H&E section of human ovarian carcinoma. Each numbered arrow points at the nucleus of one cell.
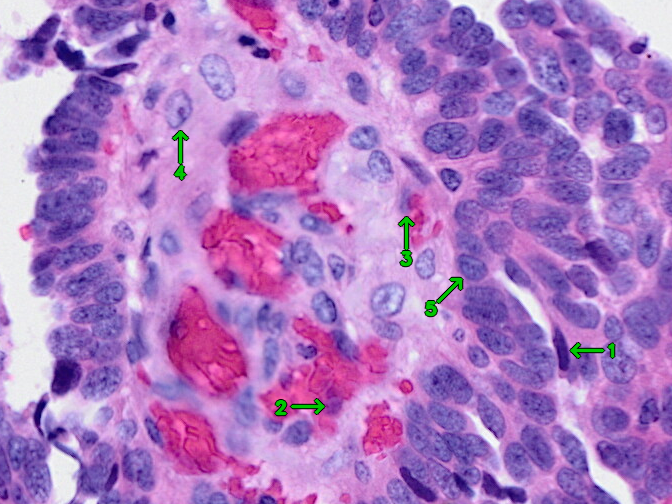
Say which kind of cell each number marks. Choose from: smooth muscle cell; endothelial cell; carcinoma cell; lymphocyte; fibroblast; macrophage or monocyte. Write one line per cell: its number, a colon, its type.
1: carcinoma cell
2: endothelial cell
3: endothelial cell
4: fibroblast
5: carcinoma cell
